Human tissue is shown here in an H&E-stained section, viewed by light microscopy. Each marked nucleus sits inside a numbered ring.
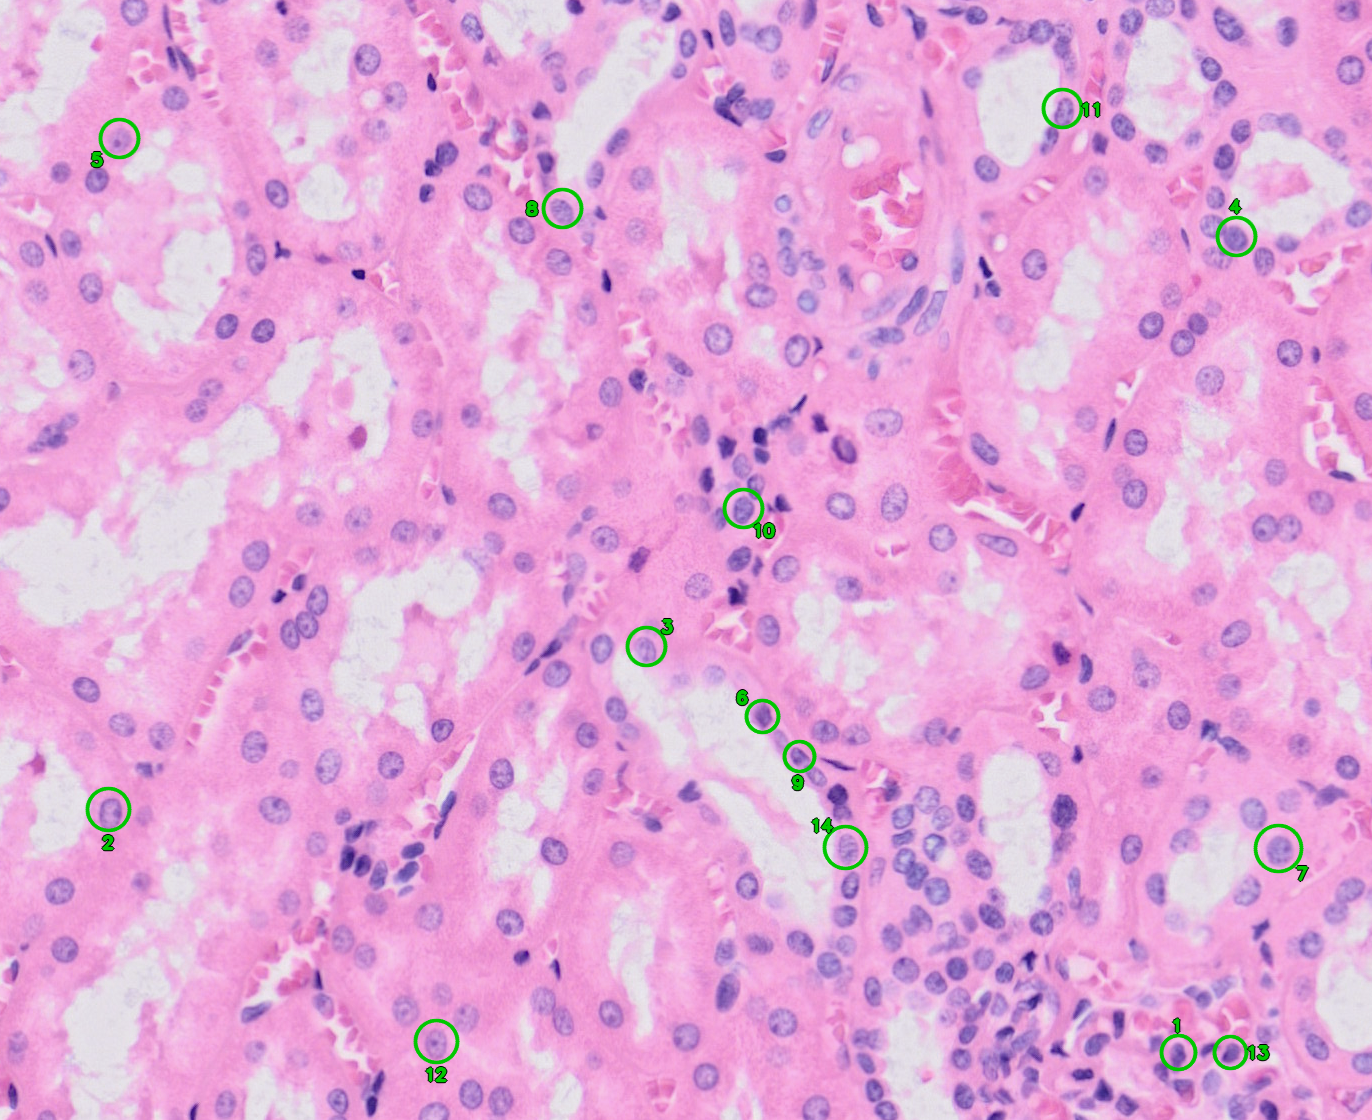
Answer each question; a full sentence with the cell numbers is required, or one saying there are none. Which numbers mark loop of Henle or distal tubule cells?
Cell 7 is a loop of Henle or distal tubule cell; no further numbered cell is.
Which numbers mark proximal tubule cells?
In this section, the cells numbered 2, 5 and 12 are proximal tubule cells.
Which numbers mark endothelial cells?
The cells bearing the numbers 1 and 13 are endothelial cells.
